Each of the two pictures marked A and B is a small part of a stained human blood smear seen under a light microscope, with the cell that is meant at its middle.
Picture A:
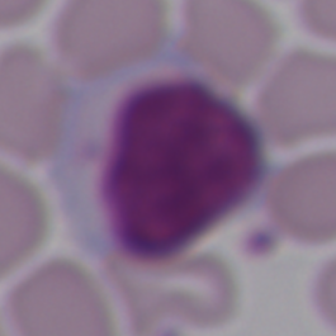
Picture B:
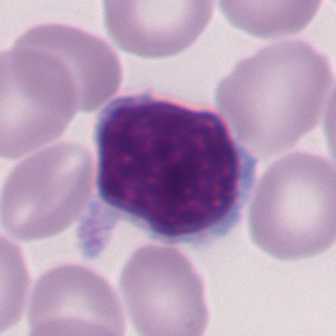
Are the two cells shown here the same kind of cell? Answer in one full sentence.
Yes, both cells are typical lymphocytes.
